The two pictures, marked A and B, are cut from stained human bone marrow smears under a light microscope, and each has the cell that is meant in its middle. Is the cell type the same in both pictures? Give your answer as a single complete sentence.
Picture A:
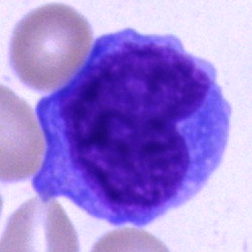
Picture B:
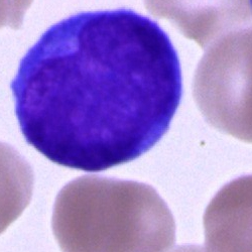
Yes, they are the same type: both are blasts.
